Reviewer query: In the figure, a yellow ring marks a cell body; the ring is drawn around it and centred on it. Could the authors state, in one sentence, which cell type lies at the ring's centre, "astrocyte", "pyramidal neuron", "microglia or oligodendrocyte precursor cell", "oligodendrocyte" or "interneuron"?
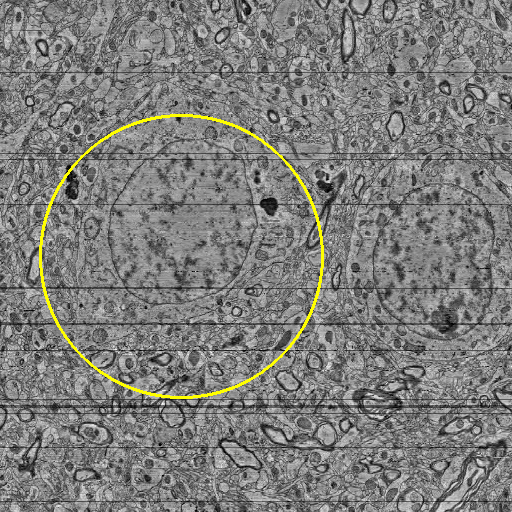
The ring is centred on a pyramidal neuron.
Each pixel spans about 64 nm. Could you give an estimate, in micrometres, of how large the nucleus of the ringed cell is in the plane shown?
In this plane, the nucleus is roughly 11 by 9 micrometres.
